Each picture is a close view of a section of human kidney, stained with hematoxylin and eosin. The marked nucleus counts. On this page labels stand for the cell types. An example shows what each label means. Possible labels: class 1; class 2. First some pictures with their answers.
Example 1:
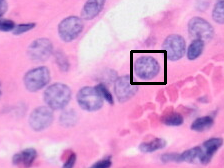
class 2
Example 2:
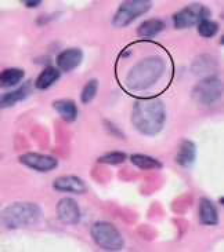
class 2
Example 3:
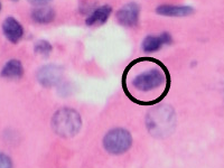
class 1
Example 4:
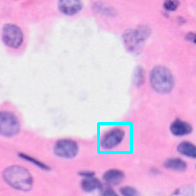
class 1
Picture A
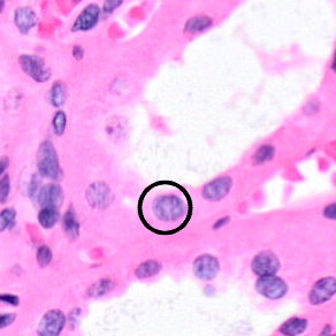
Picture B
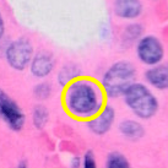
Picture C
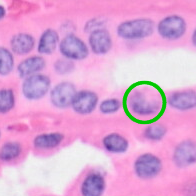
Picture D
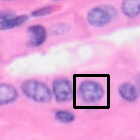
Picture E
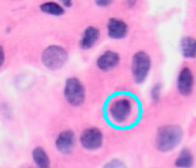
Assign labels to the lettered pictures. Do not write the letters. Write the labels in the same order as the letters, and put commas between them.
class 1, class 2, class 2, class 2, class 1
